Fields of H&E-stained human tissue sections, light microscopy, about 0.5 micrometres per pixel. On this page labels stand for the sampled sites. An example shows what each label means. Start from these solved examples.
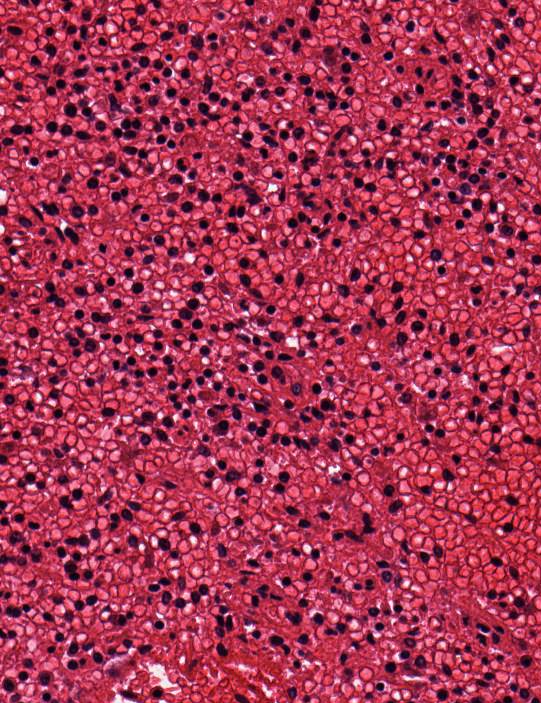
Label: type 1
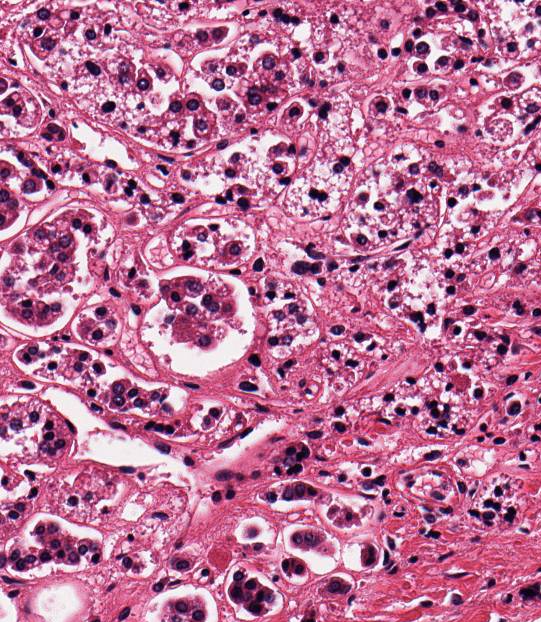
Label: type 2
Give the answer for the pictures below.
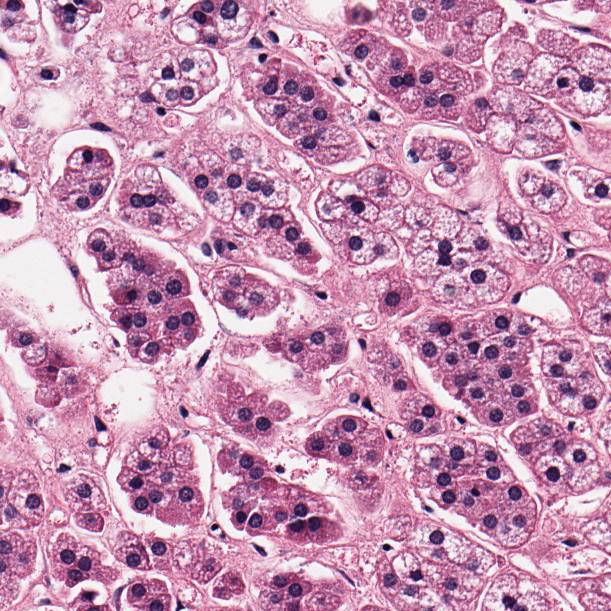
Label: type 2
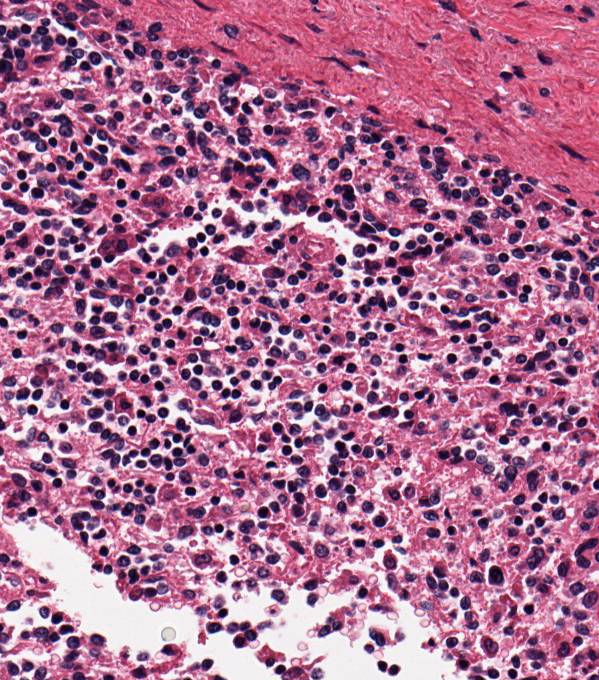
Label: type 1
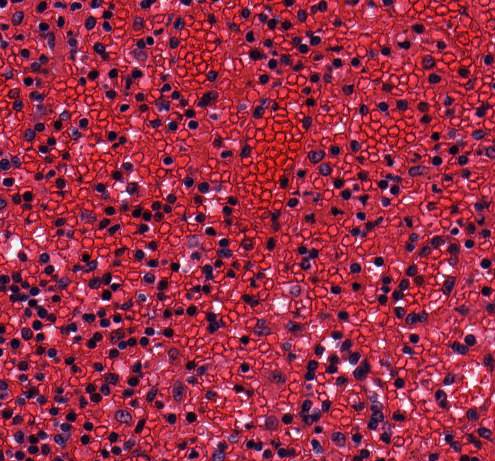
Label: type 1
